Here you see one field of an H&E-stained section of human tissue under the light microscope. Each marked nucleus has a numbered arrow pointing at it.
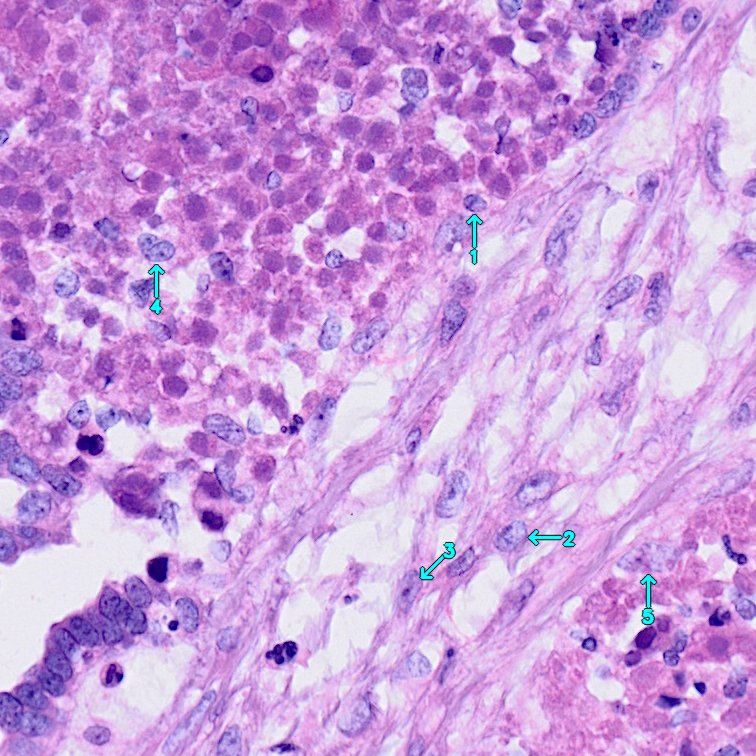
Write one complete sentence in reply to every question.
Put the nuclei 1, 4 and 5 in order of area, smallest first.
From smallest to largest, the order is 1, 4, 5.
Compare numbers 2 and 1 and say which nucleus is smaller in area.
Nucleus 1 covers less area, with nucleus 2 about 2 times as large.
